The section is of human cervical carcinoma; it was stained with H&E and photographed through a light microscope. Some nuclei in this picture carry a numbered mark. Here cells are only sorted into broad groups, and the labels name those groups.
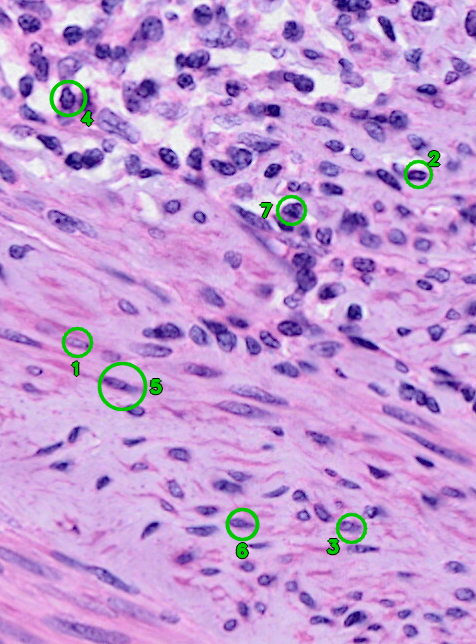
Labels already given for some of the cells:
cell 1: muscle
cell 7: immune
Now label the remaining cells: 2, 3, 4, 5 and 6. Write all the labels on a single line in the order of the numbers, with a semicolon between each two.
immune; muscle; immune; muscle; muscle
